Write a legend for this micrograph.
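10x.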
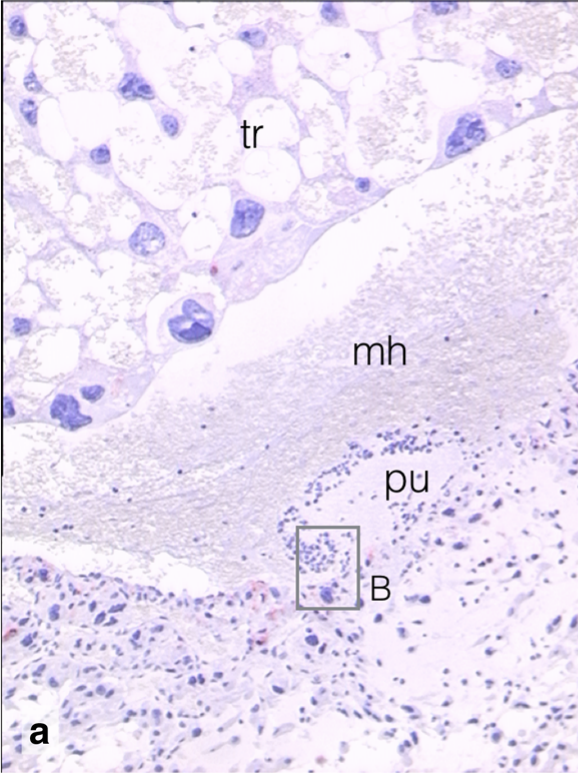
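At the upper left lies an array of large trophoblast cells with pale, vacuolated cytoplasm and big nuclei. A broad band of haemorrhage made of densely packed erythrocytes runs diagonally across the middle. At the lower right, a focus crowded with small dark nuclei sits within loose tissue holding scattered cells and a few red specks.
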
